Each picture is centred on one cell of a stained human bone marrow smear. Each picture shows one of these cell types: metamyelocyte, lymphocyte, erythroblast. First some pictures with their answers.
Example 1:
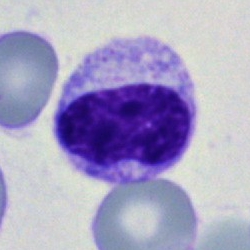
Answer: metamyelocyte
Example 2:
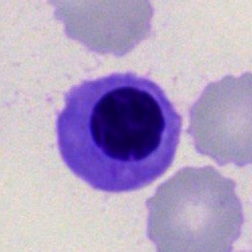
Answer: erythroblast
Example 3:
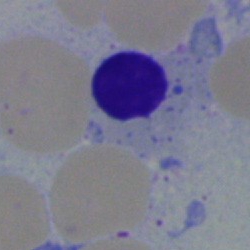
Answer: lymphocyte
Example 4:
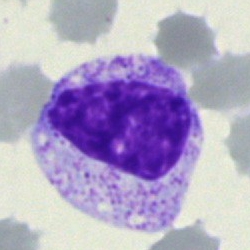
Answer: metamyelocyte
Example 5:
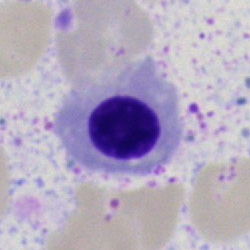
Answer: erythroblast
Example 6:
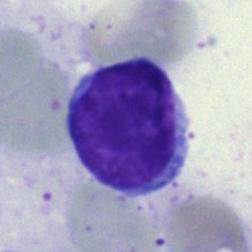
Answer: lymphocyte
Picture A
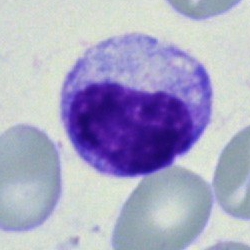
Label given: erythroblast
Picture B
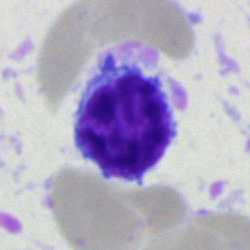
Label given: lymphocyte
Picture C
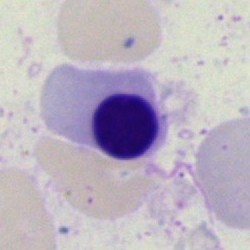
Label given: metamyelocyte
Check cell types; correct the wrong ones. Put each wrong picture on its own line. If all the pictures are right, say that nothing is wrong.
A should be metamyelocyte, not erythroblast
C should be erythroblast, not metamyelocyte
